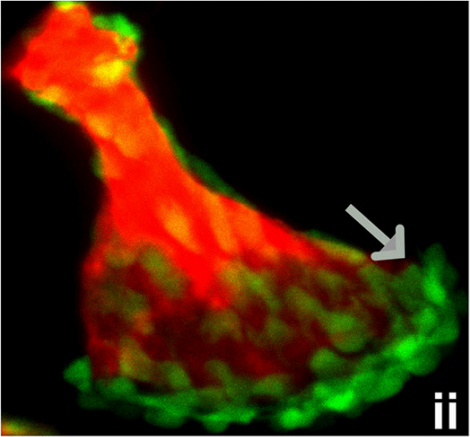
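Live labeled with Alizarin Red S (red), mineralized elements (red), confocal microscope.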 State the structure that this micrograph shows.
operculum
